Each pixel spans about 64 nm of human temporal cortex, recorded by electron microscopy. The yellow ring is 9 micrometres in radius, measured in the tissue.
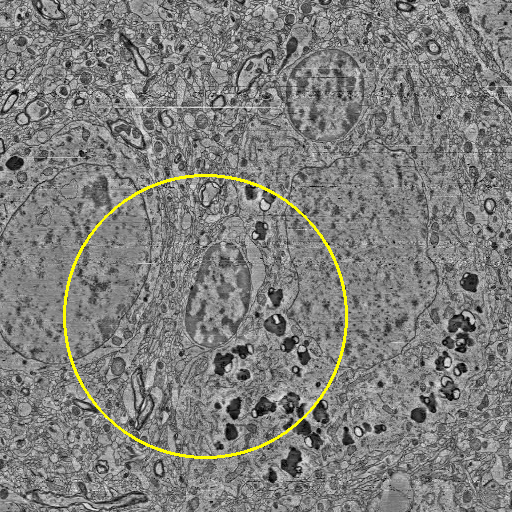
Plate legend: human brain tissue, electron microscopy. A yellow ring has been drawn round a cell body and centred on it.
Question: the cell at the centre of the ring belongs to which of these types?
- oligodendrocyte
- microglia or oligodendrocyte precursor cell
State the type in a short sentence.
The cell in the middle of the ring is a microglial cell or oligodendrocyte precursor cell.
